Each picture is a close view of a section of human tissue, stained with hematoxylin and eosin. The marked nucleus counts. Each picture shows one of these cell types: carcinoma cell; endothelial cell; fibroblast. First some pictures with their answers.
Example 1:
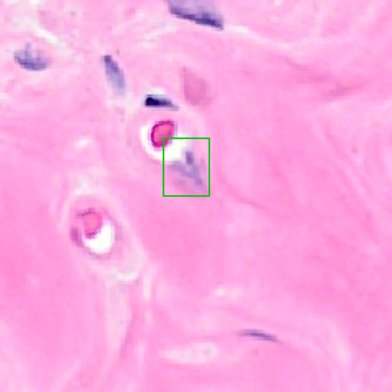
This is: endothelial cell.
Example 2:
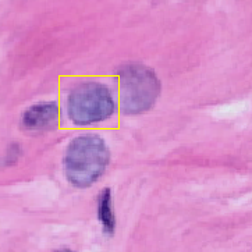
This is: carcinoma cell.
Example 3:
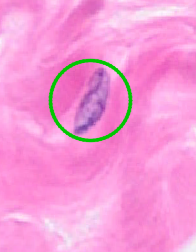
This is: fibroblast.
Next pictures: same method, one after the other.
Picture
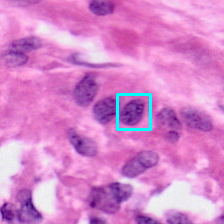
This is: carcinoma cell.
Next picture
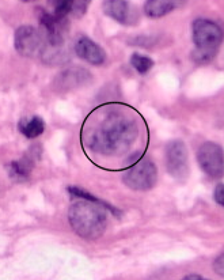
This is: carcinoma cell.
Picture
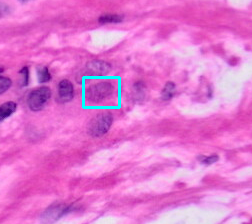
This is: carcinoma cell.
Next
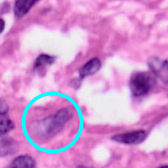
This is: endothelial cell.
